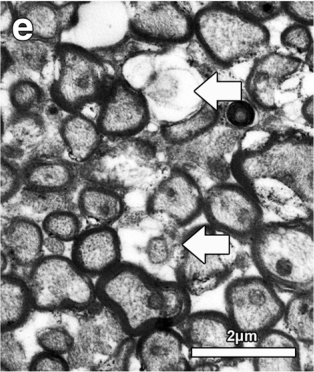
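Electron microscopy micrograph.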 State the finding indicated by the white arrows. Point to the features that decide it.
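Pale, swollen profiles with disrupted contents among intact dark-ringed axons.
Conclusion: damaged axons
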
